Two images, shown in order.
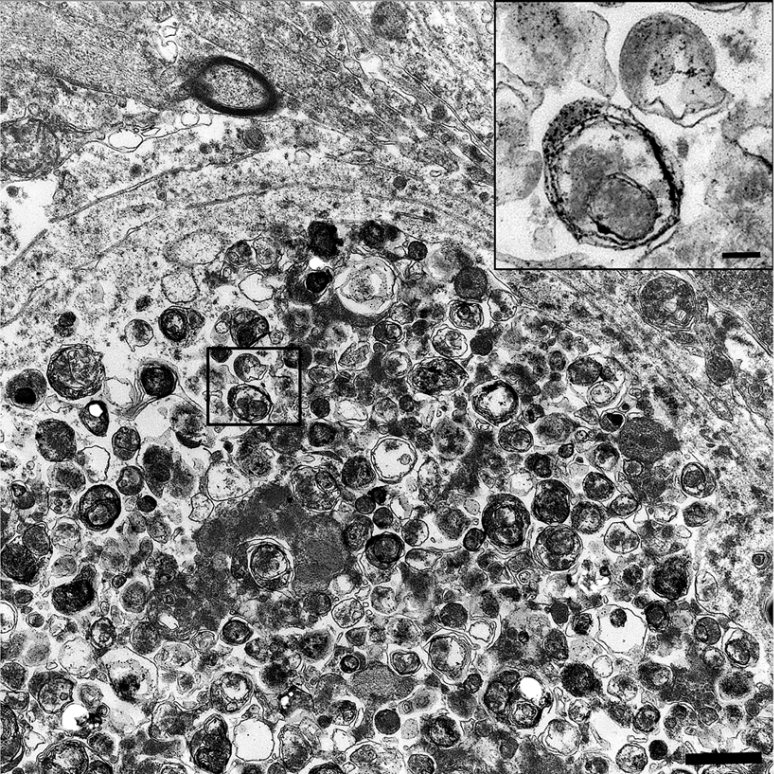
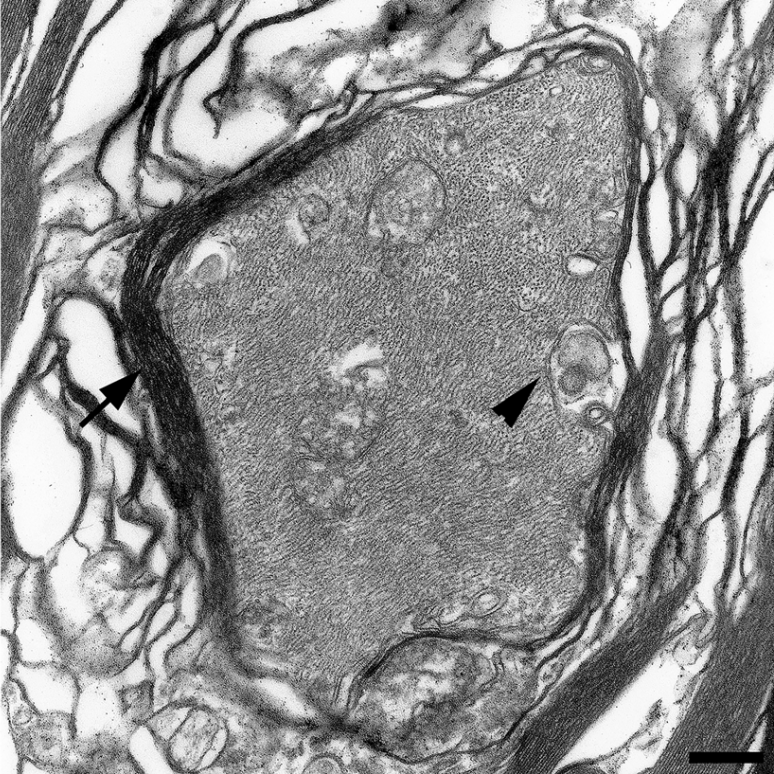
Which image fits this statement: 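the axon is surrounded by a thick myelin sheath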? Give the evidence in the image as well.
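First image: the vacuole-filled swelling has no thick dark layered sheath around it. Second image: a thick dark layered sheath borders the axon. On this evidence: the second image.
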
